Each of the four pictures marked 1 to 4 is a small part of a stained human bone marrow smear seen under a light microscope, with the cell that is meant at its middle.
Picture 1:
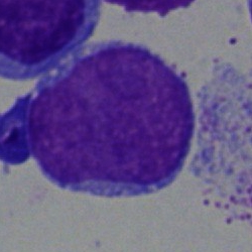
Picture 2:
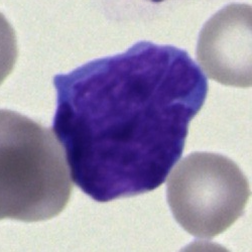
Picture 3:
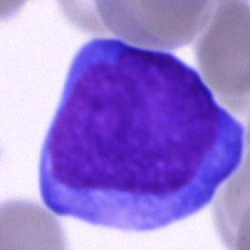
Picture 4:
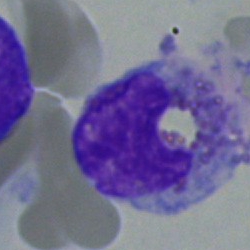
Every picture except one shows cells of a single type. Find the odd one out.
4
